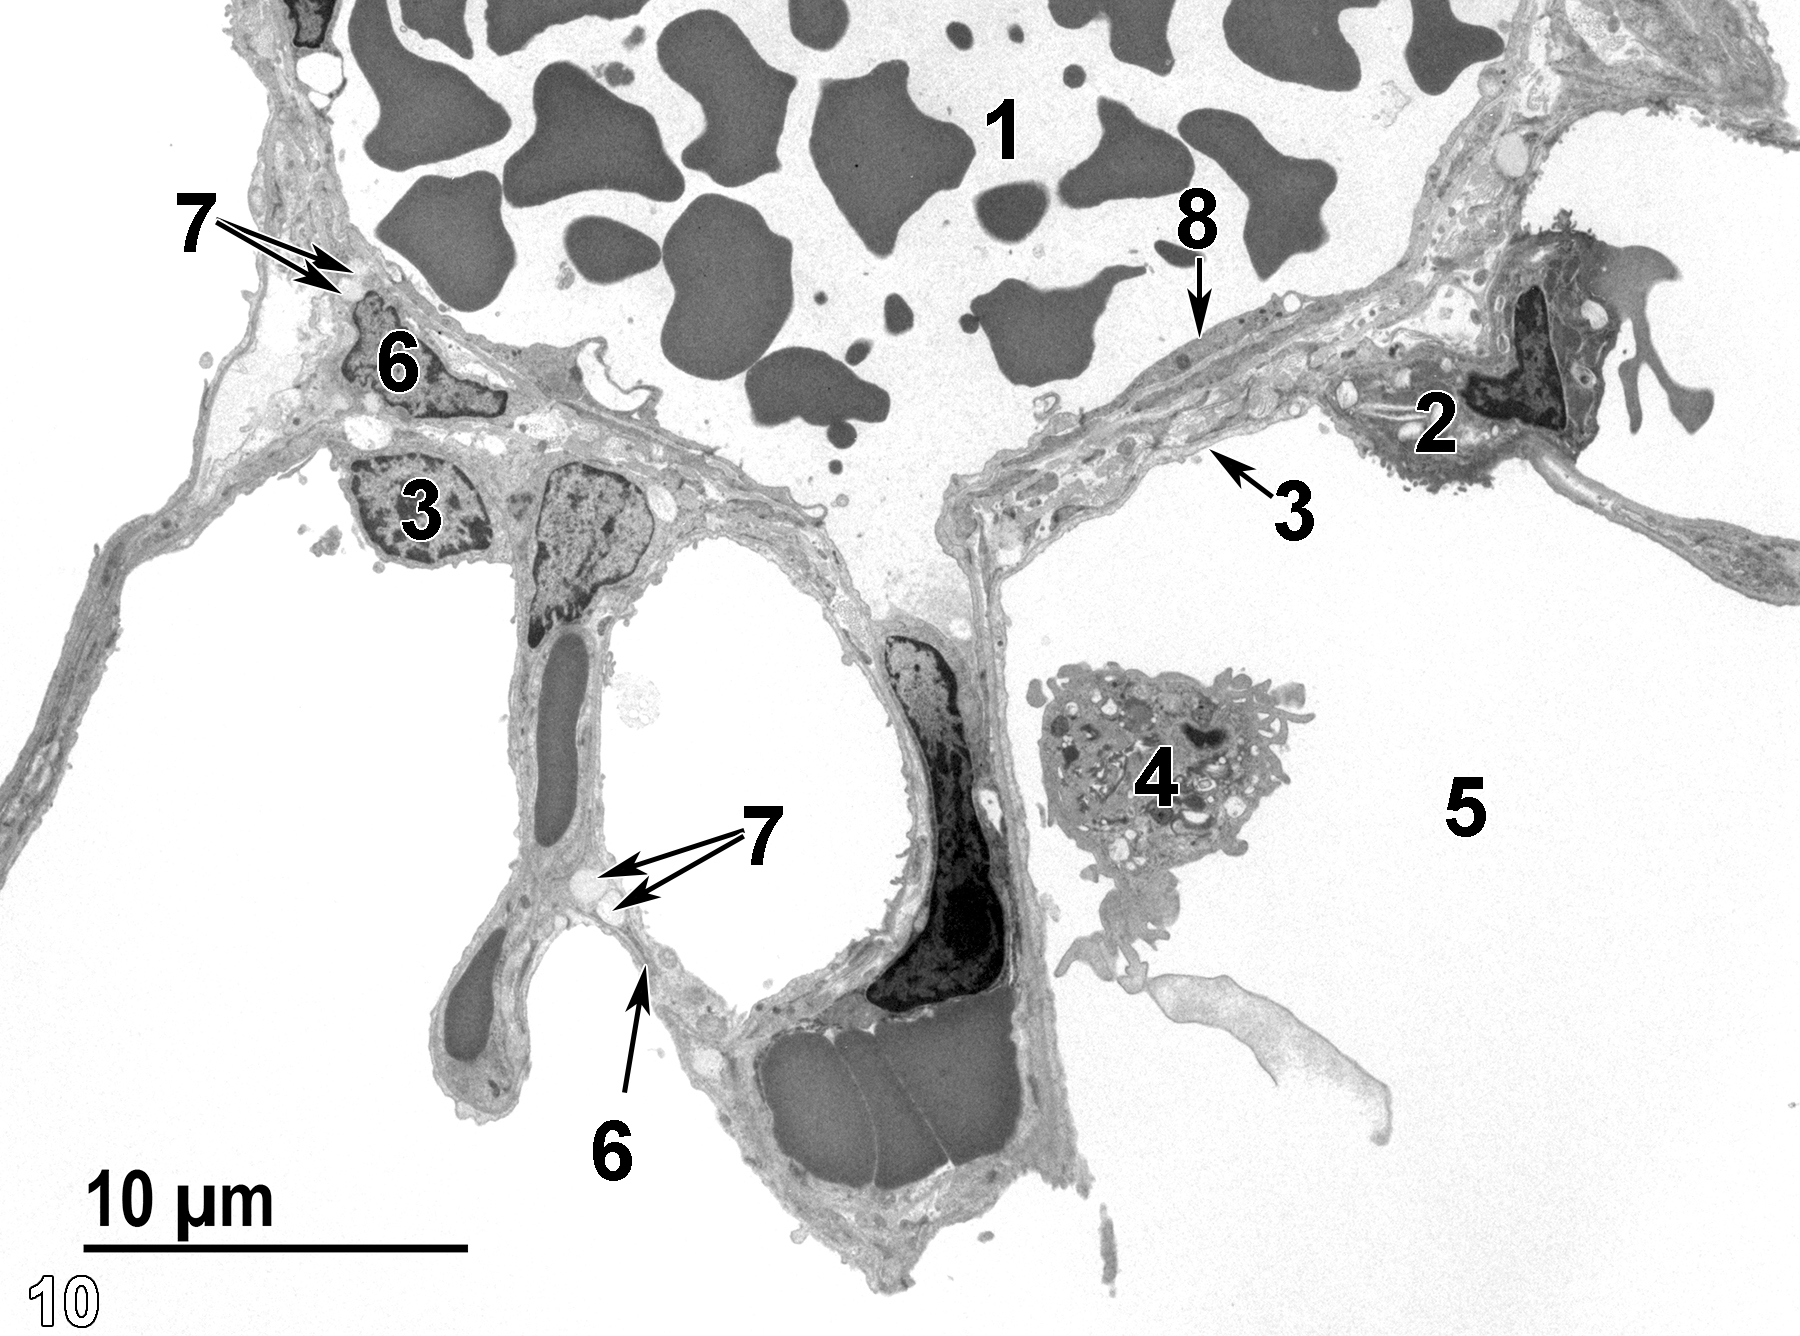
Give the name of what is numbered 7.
Lipid bodies.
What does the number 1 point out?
blood vessel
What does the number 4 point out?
Pulmonary macrophage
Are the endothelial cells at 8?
Yes.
